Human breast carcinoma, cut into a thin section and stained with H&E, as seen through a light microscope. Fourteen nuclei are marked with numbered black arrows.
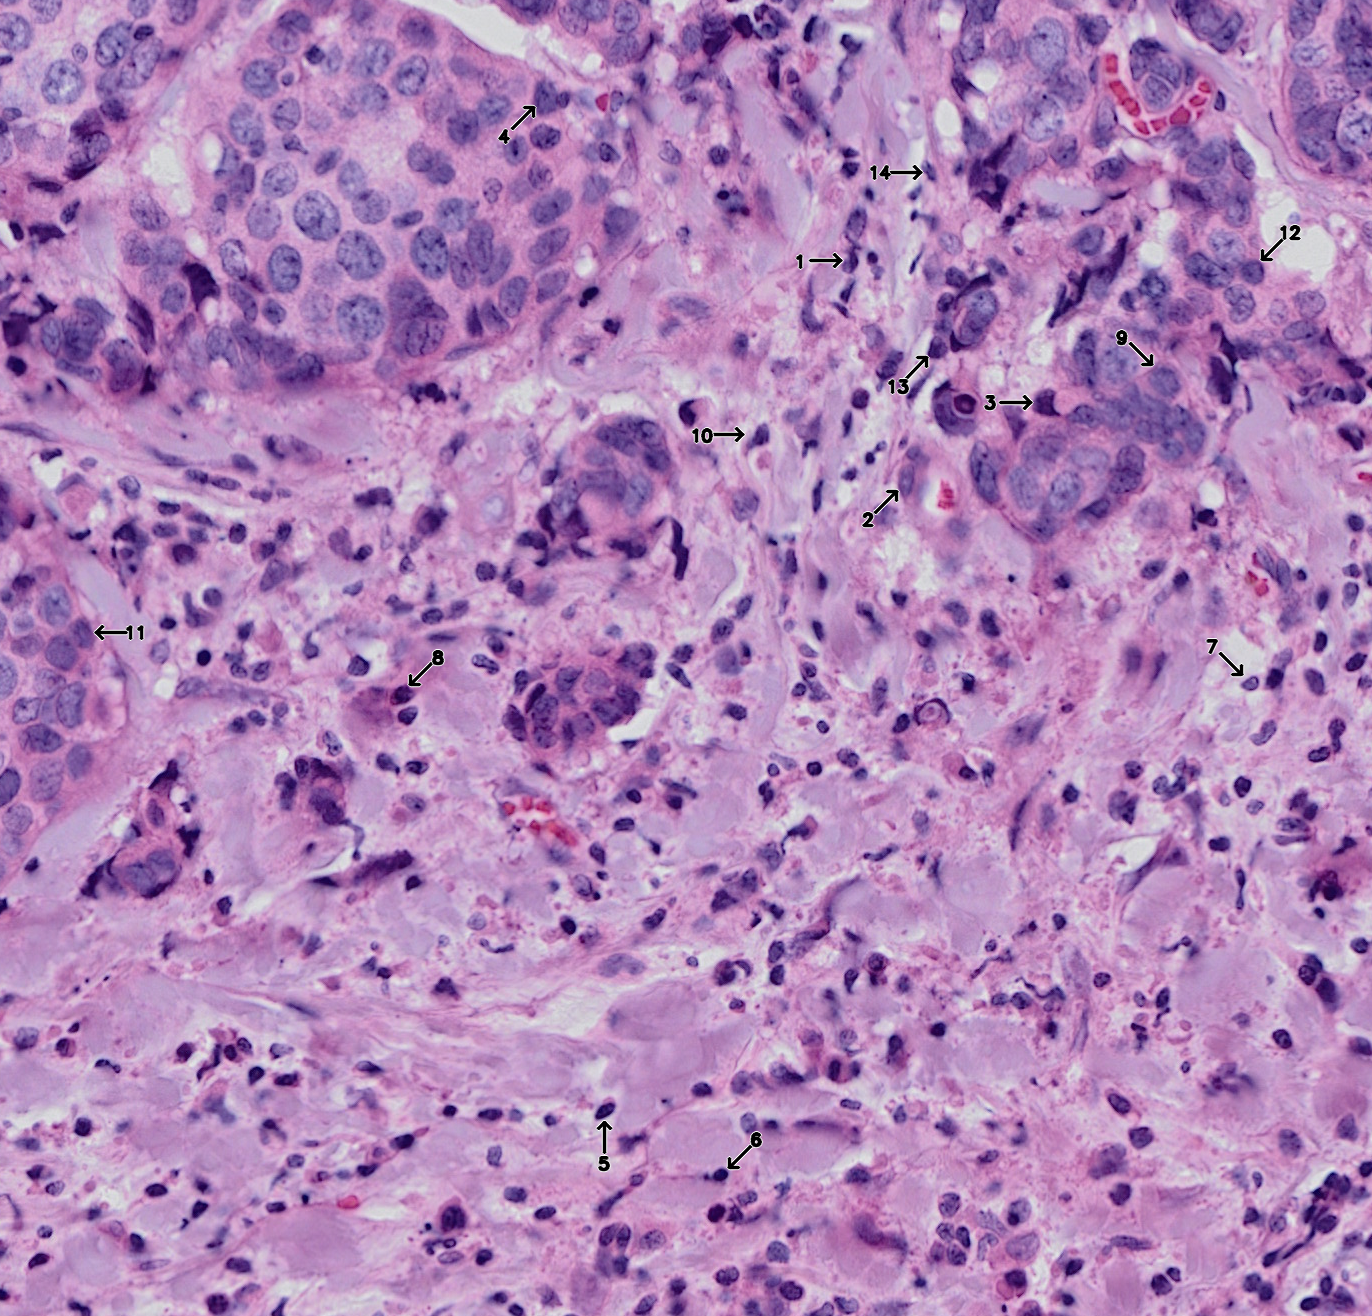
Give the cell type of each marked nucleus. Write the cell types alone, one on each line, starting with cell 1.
lymphocyte
endothelial cell
carcinoma cell
carcinoma cell
lymphocyte
lymphocyte
lymphocyte
lymphocyte
carcinoma cell
lymphocyte
carcinoma cell
carcinoma cell
lymphocyte
lymphocyte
